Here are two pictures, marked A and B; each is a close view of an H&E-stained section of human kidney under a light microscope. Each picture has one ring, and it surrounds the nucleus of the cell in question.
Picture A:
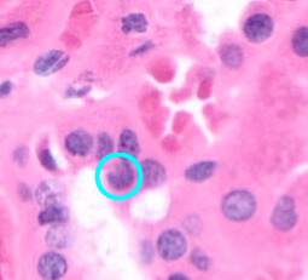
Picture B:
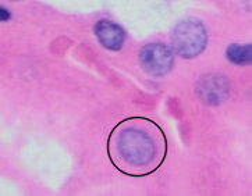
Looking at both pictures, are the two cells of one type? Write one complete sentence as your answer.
No. Picture A shows a collecting duct cell, but picture B shows a proximal tubule cell.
